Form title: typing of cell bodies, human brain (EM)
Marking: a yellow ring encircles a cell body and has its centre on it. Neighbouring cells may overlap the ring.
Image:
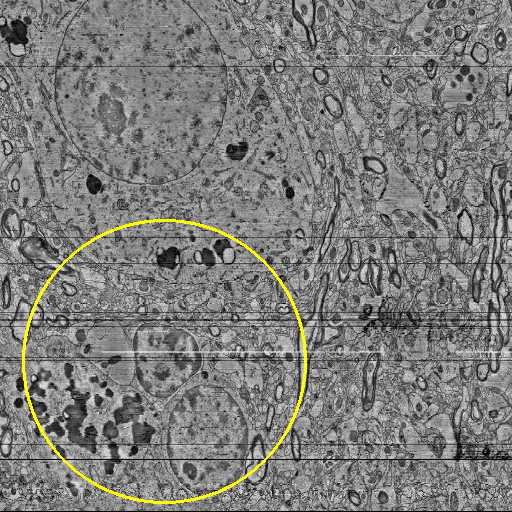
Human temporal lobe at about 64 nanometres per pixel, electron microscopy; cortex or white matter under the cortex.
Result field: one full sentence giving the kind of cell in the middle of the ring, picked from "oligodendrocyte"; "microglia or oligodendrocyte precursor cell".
In the picture, the ring is centred on a microglial cell or oligodendrocyte precursor cell, whose cell body it encircles.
